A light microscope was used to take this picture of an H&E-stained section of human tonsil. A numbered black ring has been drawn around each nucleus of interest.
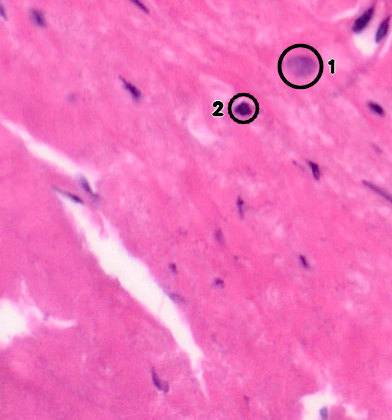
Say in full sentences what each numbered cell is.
Cell 1 is an endothelial cell. Cell 2 is a mast cell.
